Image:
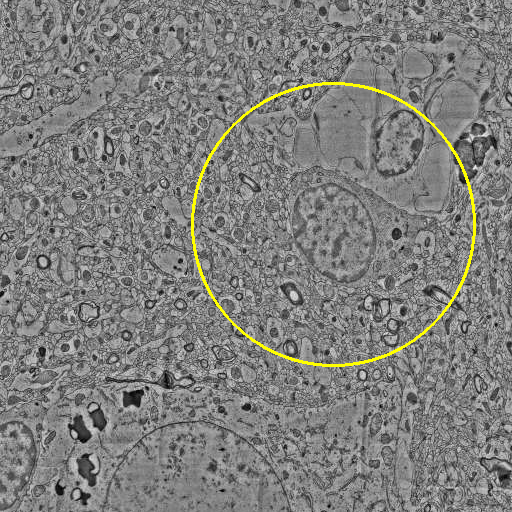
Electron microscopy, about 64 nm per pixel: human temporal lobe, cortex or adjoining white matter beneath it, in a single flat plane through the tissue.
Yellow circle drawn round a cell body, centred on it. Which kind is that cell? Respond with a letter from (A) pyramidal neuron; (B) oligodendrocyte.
B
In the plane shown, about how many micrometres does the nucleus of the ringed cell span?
The nucleus comes to roughly 7 by 5 micrometres in this plane.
